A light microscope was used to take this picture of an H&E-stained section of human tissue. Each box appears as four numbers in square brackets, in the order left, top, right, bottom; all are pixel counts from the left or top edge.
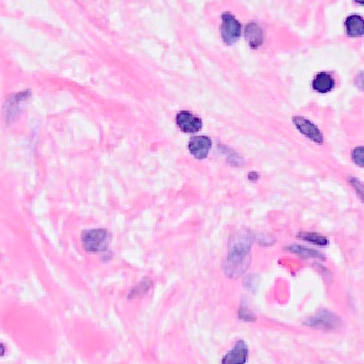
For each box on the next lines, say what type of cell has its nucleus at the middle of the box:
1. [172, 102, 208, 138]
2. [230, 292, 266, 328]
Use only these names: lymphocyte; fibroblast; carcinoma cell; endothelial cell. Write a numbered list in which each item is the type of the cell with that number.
1. lymphocyte
2. endothelial cell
